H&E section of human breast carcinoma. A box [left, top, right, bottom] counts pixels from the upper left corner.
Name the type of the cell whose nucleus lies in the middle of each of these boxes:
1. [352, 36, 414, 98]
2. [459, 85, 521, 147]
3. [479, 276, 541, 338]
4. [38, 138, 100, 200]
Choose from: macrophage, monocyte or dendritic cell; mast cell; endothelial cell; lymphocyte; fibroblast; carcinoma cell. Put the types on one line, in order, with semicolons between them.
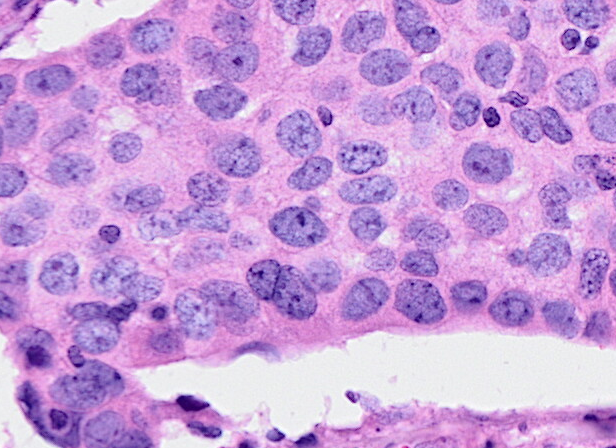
carcinoma cell; lymphocyte; carcinoma cell; carcinoma cell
